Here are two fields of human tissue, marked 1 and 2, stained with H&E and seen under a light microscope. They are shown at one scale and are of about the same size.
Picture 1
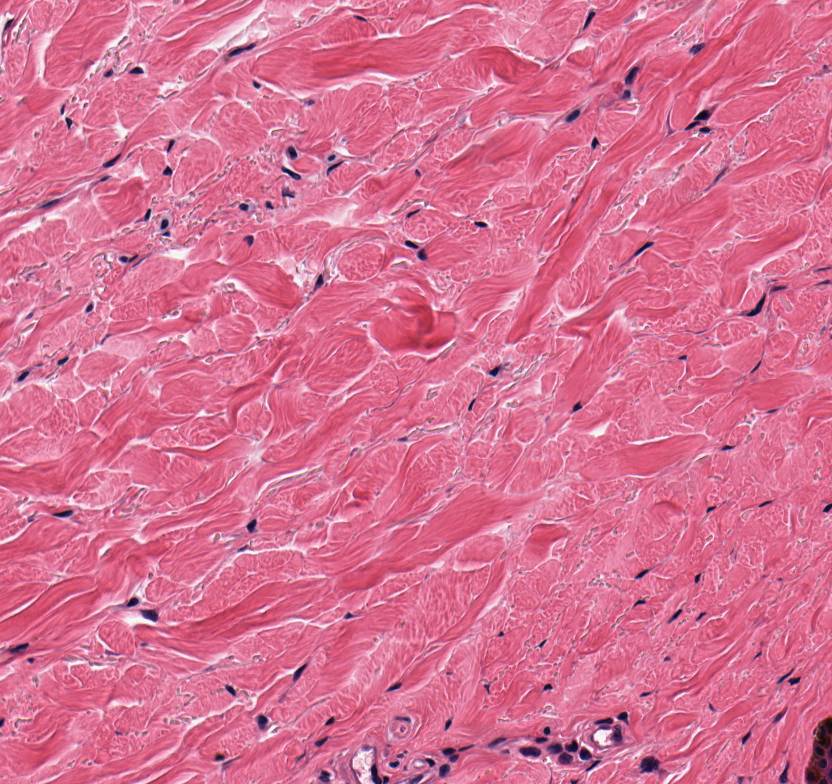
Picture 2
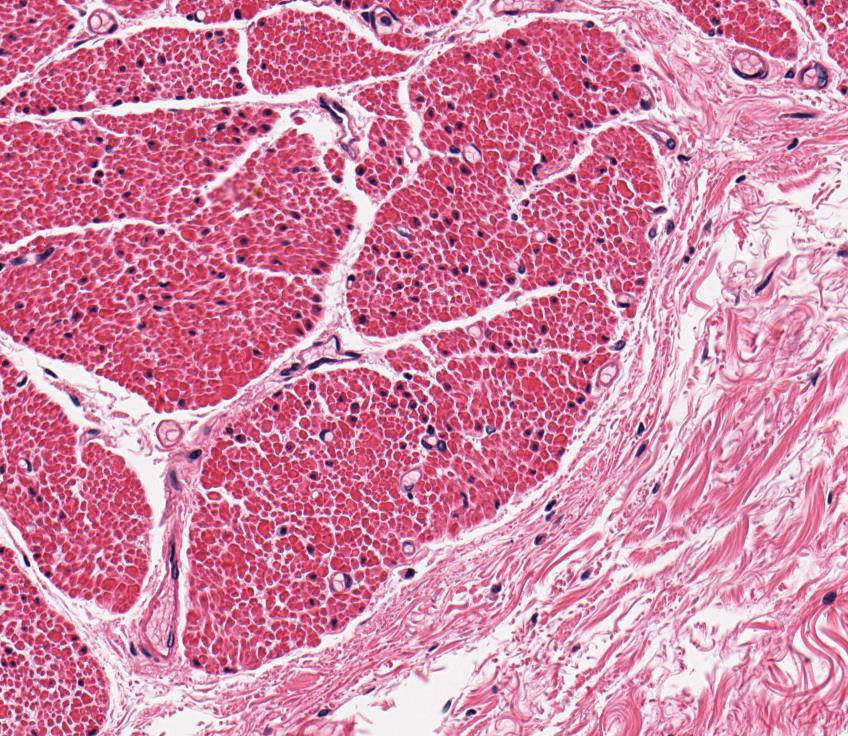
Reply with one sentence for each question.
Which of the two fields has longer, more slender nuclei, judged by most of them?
It is picture 1 whose nuclei are the more elongated.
